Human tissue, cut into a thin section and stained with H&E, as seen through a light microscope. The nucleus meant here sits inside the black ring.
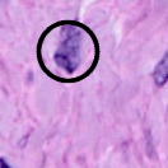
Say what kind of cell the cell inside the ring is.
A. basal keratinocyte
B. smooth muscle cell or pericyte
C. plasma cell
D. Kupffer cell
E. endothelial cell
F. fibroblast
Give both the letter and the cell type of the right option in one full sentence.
It is option F that correctly calls the cell inside the ring a fibroblast.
